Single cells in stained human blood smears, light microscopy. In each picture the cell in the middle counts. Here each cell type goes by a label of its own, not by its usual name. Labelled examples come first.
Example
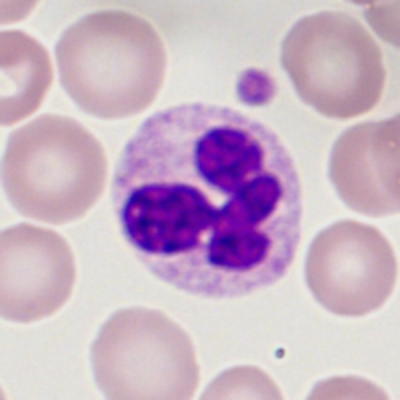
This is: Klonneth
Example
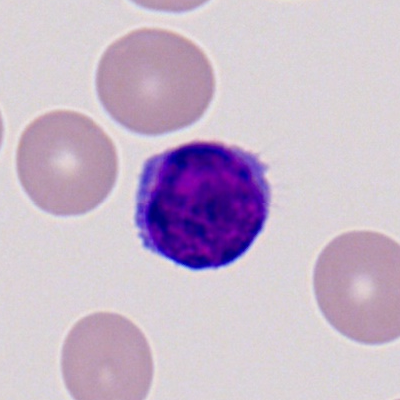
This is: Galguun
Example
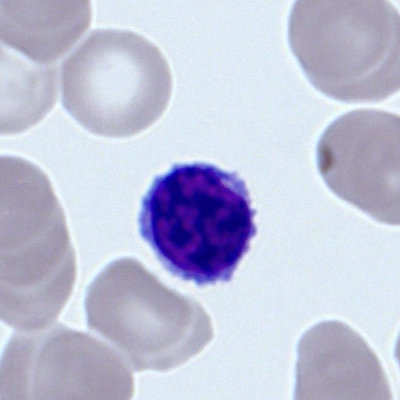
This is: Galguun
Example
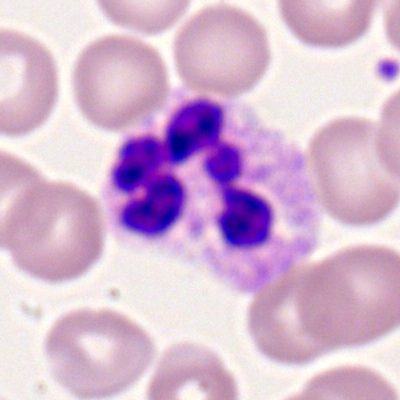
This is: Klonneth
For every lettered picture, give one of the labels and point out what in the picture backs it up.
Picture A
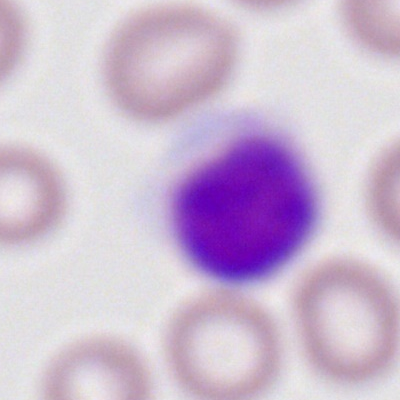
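Galguun. Reason: The nucleus fills most of the cell.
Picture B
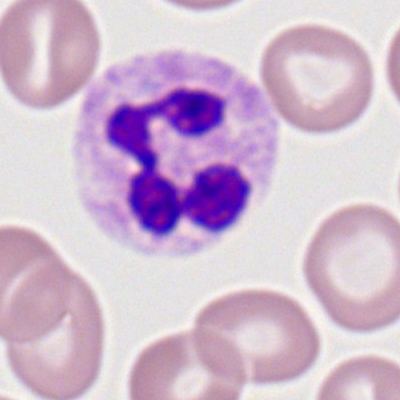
Klonneth. Reason: The cytoplasm is abundant and pale pinkish-lilac.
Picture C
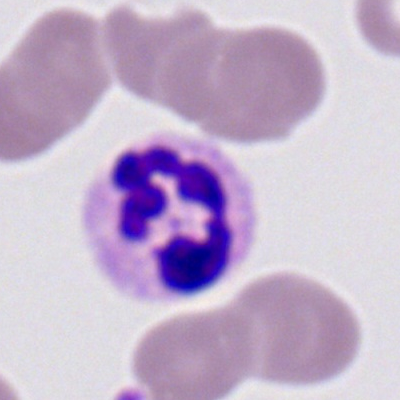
Klonneth. Reason: The cytoplasm is plentiful and pale pink-lilac.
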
